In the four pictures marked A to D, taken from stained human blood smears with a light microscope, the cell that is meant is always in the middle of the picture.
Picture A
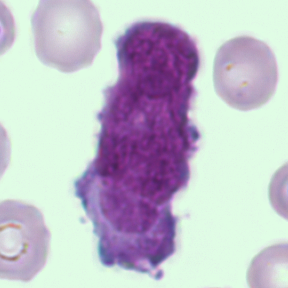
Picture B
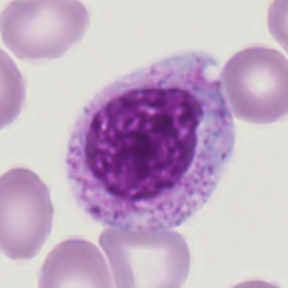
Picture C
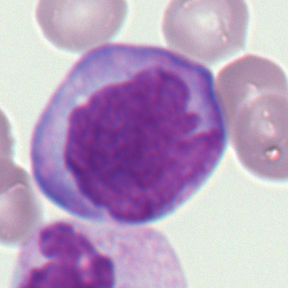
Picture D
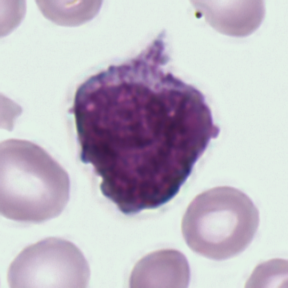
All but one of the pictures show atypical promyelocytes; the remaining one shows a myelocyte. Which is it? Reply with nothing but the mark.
B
